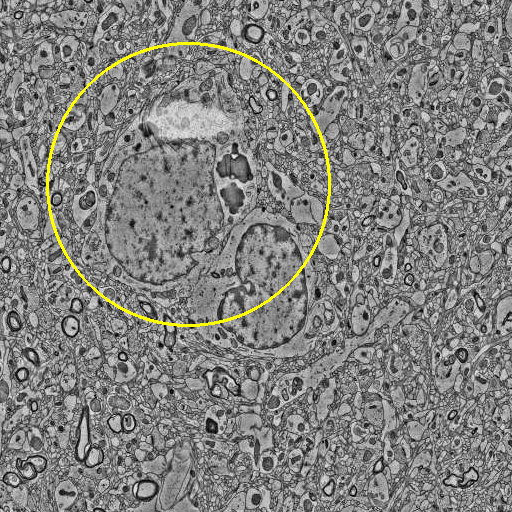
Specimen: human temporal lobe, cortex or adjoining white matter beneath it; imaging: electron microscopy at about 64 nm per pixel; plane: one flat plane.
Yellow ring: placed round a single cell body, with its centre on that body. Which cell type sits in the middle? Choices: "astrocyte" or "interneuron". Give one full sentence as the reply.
It is an interneuron whose cell body sits at the centre of the yellow ring.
